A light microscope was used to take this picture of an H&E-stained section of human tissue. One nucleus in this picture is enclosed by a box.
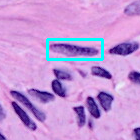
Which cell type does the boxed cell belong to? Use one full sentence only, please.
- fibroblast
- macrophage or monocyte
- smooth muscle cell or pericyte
Just put down that the boxed cell is a fibroblast.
